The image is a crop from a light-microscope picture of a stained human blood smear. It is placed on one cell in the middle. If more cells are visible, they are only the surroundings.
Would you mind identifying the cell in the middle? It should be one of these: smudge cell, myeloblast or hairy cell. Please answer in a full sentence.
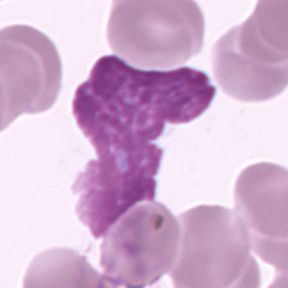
Where the crop is centred, there is a smudge cell.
